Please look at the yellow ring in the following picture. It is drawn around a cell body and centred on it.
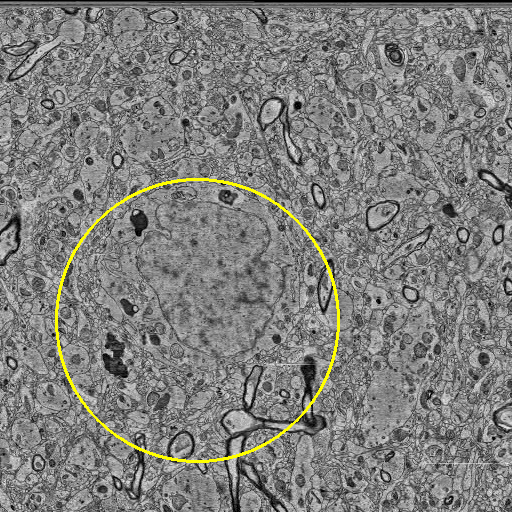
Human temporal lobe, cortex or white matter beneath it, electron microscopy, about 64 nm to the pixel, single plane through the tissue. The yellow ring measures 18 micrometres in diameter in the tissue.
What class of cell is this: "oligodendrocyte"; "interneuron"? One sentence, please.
The ring surrounds the cell body of an interneuron.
